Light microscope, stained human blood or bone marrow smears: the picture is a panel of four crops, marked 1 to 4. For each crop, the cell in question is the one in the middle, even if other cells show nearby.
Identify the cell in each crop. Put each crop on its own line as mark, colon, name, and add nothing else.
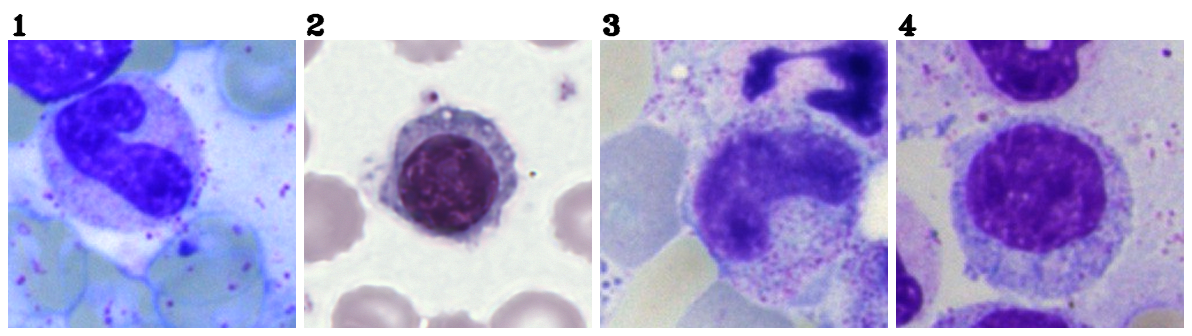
1: band neutrophil
2: plasma cell
3: band neutrophil
4: myelocyte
